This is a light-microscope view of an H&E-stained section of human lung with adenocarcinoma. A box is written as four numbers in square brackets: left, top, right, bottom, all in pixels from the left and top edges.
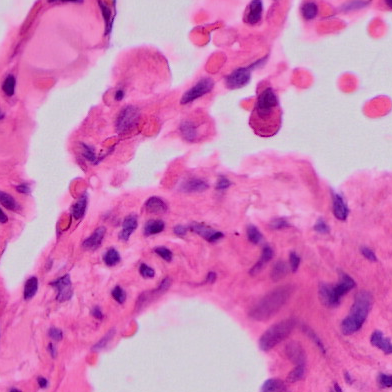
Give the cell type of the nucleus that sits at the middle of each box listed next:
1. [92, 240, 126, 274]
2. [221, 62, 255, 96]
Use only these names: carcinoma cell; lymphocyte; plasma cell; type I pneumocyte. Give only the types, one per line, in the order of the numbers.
lymphocyte
type I pneumocyte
